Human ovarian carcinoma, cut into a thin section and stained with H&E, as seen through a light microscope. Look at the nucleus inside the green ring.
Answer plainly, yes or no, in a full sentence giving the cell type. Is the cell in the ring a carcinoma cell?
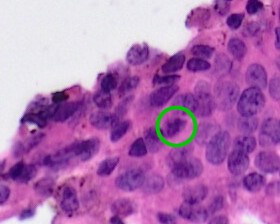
Yes, put very simply, the cell in the ring is a carcinoma cell.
